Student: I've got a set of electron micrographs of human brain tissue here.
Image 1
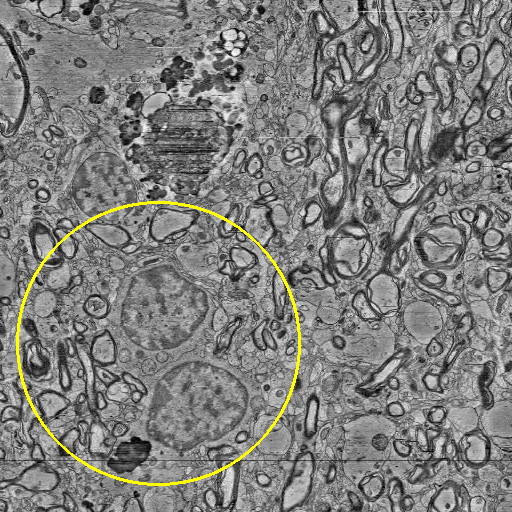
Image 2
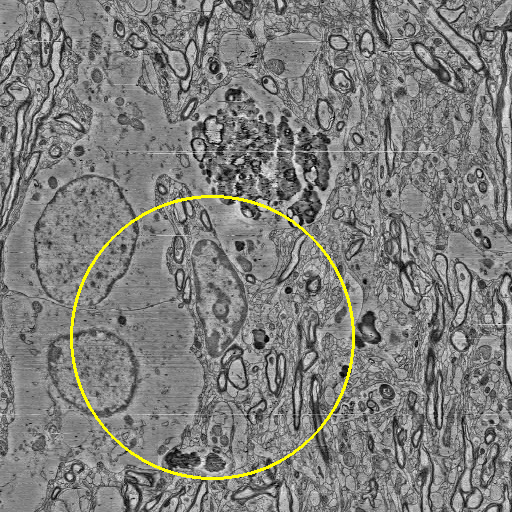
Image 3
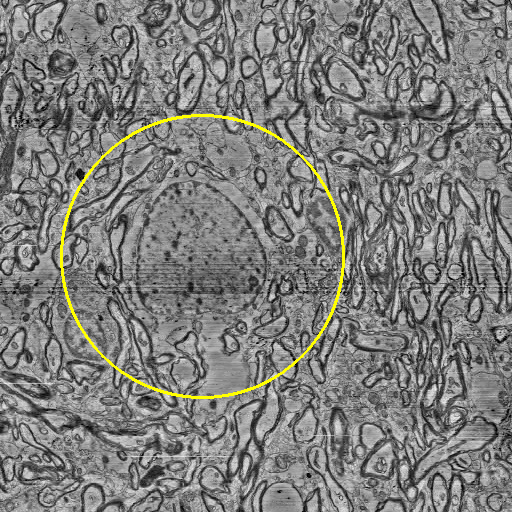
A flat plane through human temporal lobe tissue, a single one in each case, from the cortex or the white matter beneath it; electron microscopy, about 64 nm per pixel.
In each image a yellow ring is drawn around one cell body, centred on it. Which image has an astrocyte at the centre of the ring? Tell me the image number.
3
